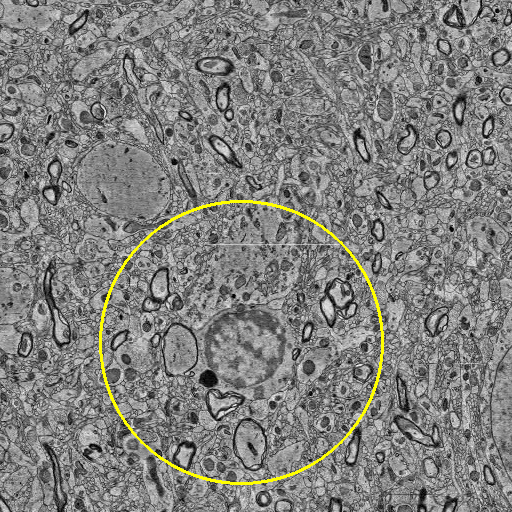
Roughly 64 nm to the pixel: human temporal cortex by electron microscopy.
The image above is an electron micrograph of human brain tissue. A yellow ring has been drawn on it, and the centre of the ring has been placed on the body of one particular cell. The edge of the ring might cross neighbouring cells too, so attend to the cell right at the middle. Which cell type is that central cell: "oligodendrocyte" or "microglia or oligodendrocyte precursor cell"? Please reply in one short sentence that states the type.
The central cell in the ring is an oligodendrocyte.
